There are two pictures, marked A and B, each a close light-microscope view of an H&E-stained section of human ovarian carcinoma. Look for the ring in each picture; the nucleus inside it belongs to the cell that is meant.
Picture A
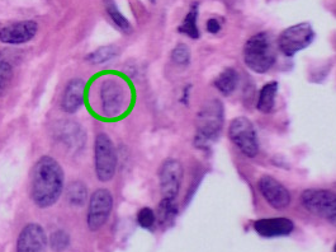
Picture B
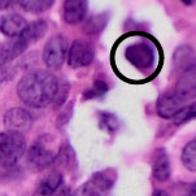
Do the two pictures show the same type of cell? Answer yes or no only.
yes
